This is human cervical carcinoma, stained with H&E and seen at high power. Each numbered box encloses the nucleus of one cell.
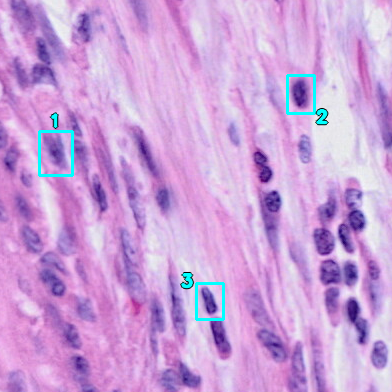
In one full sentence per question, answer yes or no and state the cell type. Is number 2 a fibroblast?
No, it is not a fibroblast that bears number 2 but a lymphocyte.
